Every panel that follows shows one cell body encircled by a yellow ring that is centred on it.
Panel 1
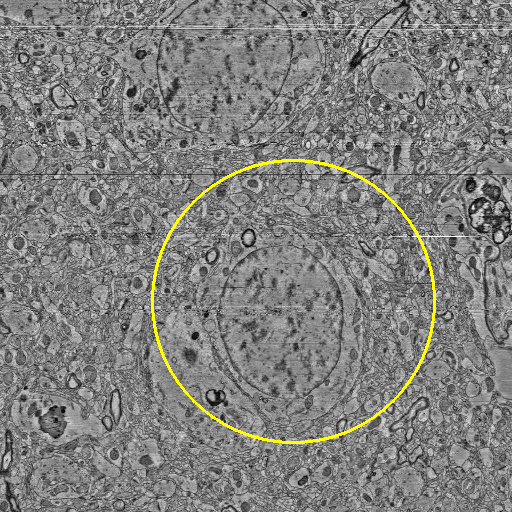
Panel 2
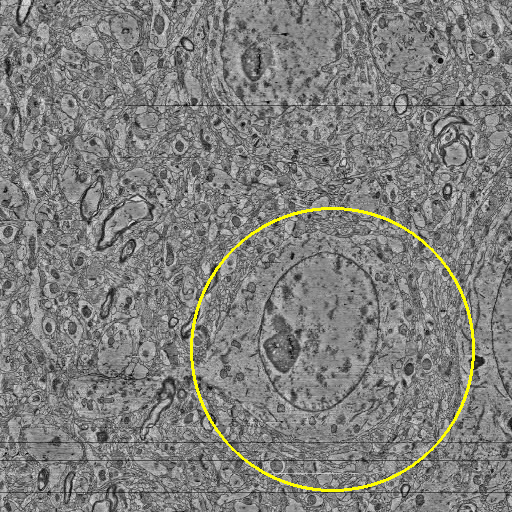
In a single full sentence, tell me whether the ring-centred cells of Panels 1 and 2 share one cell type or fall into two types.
In Panel 1 and Panel 2, the cells at the ring centres share one cell type.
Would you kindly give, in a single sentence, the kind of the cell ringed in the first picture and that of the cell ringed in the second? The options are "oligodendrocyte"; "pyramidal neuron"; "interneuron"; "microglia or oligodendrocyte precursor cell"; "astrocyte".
Each of the two cells is a pyramidal neuron.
